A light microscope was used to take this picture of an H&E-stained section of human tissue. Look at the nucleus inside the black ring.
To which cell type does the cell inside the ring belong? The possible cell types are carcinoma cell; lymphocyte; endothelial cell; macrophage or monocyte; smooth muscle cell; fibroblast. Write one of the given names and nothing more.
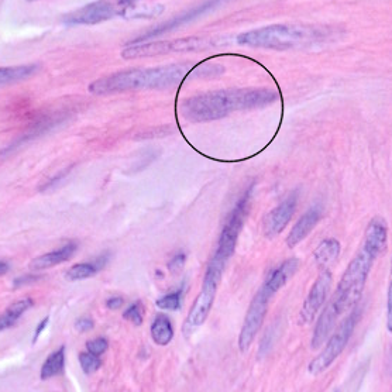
smooth muscle cell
